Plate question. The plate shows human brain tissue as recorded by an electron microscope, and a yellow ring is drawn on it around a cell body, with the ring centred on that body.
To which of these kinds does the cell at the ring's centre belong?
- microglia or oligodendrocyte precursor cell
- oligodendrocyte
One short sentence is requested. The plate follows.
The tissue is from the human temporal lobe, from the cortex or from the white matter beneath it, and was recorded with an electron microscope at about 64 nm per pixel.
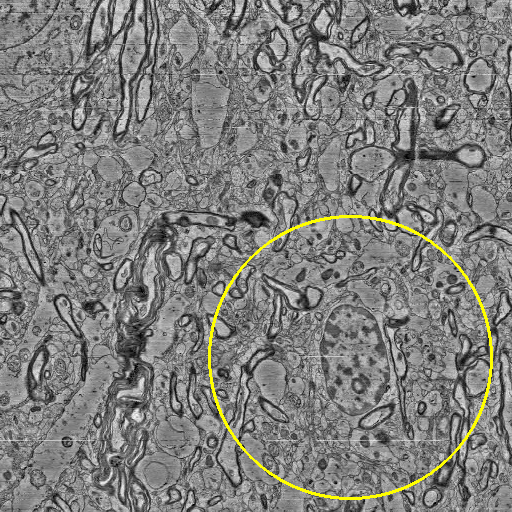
The cell at the ring's centre is a microglial cell or oligodendrocyte precursor cell.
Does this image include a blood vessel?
No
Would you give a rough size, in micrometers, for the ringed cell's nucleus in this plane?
About 7 by 4 micrometers for the nucleus, in this plane.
